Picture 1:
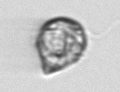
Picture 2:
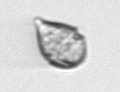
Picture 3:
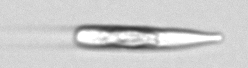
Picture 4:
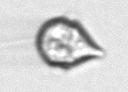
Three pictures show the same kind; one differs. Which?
Picture 3: Licmophora, while the others are Scrippsiella.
